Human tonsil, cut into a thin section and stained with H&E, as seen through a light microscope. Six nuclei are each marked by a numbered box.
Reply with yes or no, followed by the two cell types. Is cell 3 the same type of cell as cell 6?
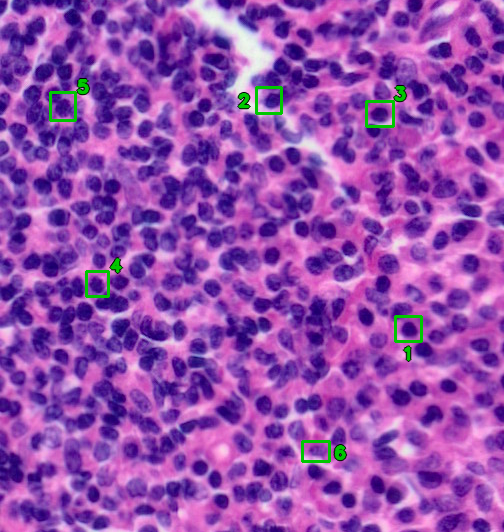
Yes, both of the cells numbered 3 and 6 are plasma cells.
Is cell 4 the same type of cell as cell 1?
No, cell 4 is a small lymphocyte, and cell 1, for its part, is a plasma cell.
